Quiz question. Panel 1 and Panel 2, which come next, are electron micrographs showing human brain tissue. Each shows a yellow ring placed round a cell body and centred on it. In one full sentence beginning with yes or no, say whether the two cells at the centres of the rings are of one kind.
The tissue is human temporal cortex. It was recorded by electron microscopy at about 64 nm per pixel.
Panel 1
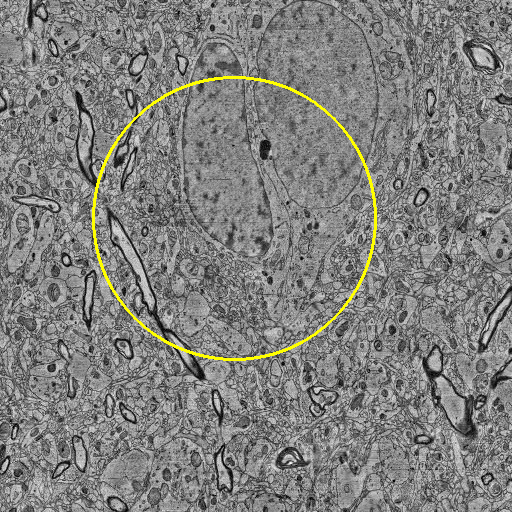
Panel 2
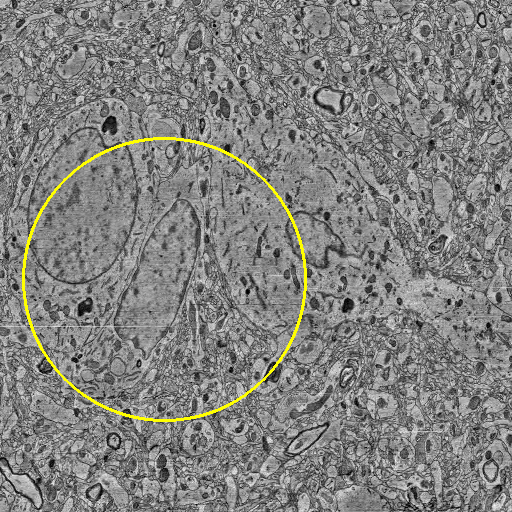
Yes, Panel 1 and Panel 2 show one kind of cell at the centre of the ring.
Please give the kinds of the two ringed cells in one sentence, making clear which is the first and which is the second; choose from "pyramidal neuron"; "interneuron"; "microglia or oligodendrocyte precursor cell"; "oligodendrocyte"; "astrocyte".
Both cells are the same kind, each one being a microglial cell or oligodendrocyte precursor cell.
